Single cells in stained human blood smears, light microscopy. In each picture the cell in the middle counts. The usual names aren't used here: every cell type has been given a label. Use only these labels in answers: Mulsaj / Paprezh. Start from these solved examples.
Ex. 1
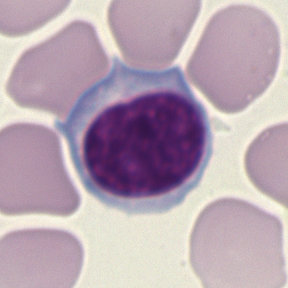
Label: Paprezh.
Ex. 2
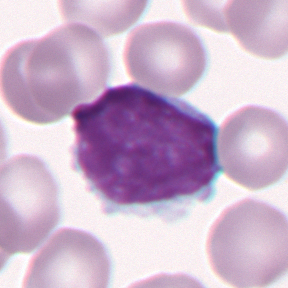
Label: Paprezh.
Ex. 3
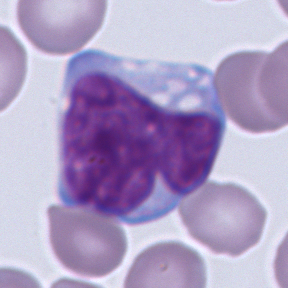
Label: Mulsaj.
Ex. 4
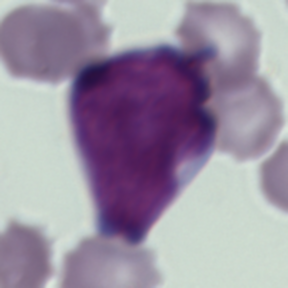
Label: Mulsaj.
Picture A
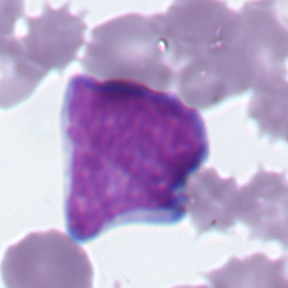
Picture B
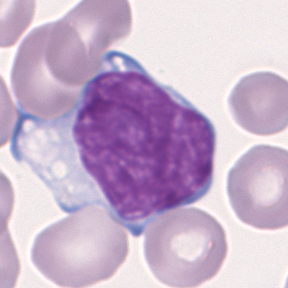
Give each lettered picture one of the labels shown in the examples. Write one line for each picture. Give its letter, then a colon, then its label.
A: Mulsaj.
B: Mulsaj.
